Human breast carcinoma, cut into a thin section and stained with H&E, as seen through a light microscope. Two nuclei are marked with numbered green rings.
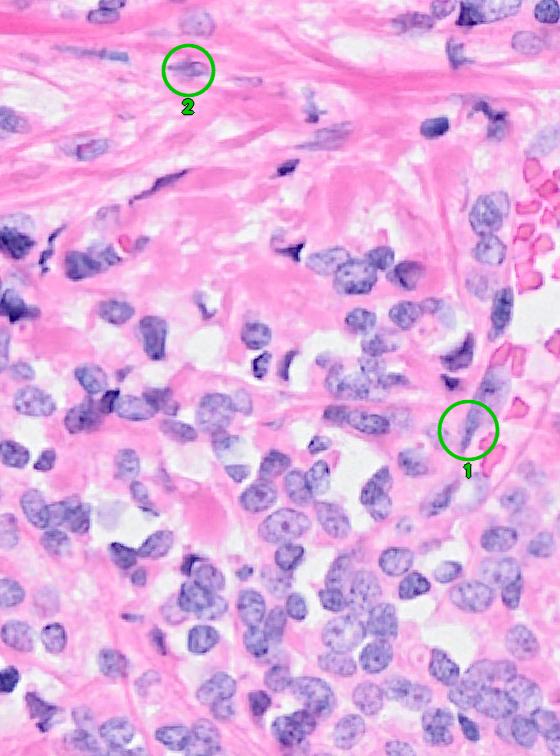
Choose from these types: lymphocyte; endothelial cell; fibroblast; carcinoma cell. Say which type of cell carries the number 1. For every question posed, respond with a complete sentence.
The cell pointed out by number 1 is an endothelial cell.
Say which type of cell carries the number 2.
The numbered cell 2 is identified here as a fibroblast.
